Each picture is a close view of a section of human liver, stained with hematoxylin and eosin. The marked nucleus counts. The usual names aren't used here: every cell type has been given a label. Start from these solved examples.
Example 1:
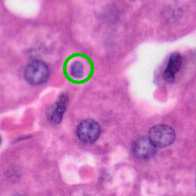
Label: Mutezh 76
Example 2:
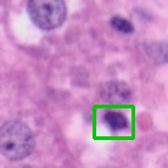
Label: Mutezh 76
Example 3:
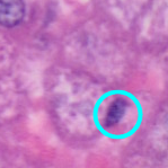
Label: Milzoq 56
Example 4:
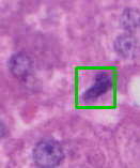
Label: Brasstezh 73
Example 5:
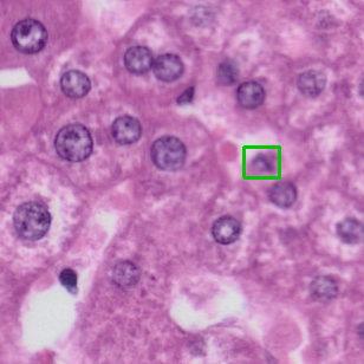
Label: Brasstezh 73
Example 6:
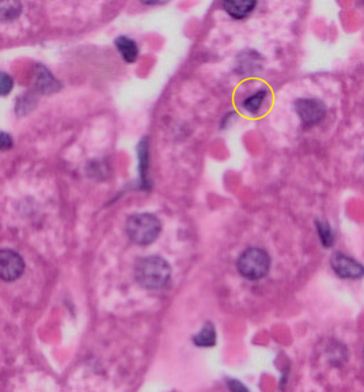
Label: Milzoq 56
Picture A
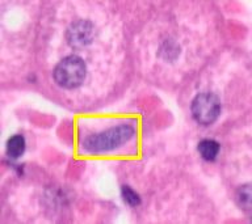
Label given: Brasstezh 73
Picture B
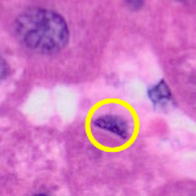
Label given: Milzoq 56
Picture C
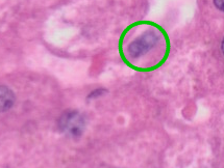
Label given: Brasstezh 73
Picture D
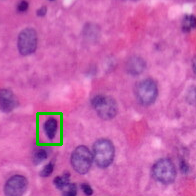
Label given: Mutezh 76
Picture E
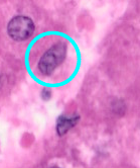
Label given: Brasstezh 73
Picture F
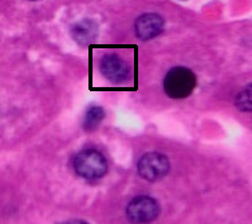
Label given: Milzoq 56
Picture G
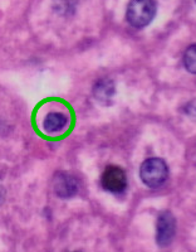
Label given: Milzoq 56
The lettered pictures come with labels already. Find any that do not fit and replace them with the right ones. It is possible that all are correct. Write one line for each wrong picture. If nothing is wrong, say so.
G: Mutezh 76, not Milzoq 56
